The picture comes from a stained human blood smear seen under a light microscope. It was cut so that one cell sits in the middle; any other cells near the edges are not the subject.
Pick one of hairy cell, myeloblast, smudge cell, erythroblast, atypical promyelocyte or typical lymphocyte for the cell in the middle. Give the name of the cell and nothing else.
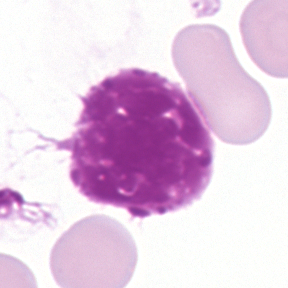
smudge cell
